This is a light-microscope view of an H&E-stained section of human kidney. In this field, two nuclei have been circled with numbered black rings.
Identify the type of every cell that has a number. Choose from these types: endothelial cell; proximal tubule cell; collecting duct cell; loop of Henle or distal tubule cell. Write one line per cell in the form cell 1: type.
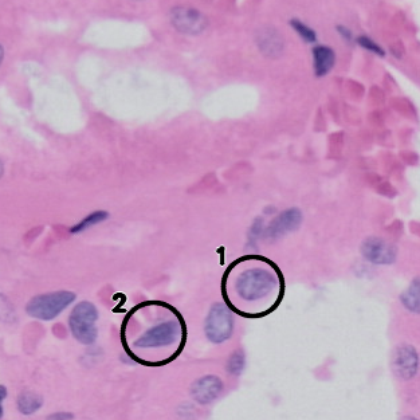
cell 1: loop of Henle or distal tubule cell
cell 2: endothelial cell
